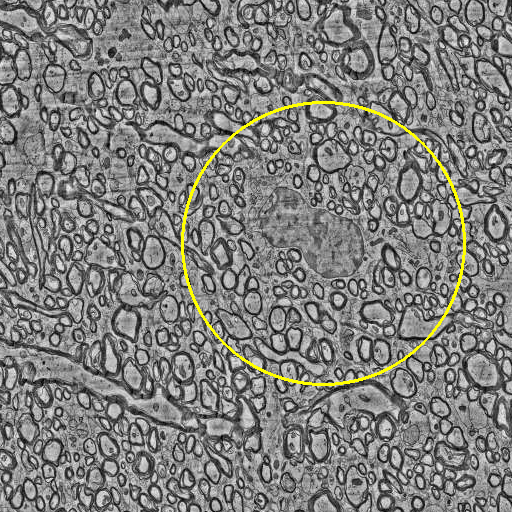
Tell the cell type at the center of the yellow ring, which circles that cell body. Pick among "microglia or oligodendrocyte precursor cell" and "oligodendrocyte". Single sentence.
The ring is centered on the body of a microglial cell or oligodendrocyte precursor cell.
